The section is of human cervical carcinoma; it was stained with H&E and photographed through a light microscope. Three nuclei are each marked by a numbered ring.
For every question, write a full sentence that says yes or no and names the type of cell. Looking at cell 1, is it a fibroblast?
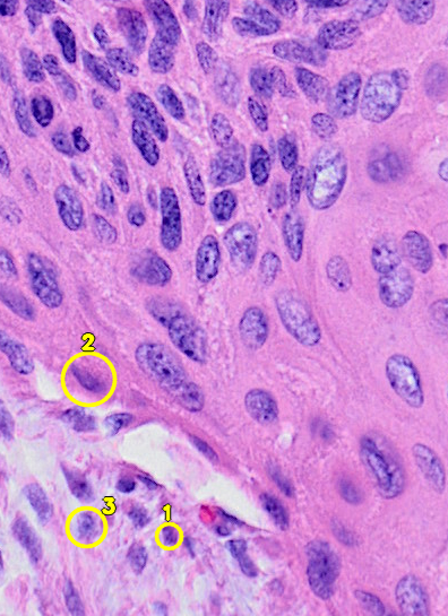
Yes, kindly take note: the cell numbered 1 is a fibroblast.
